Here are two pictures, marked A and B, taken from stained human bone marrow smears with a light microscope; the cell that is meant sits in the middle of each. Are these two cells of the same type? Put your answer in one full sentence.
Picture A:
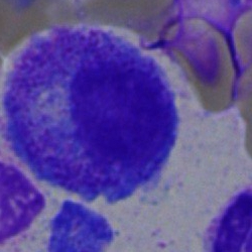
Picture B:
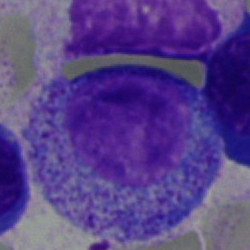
No, they differ: the cell is a myelocyte in picture A and a promyelocyte in picture B.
